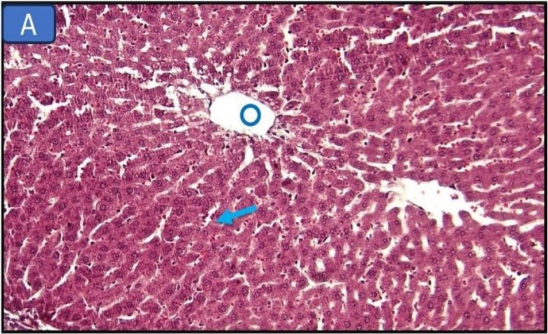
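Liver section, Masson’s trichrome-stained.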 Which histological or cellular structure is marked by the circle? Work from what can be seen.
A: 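The circle sits in a round empty lumen near the top centre. Cords of cells radiate outward from this lumen. So: central vein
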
